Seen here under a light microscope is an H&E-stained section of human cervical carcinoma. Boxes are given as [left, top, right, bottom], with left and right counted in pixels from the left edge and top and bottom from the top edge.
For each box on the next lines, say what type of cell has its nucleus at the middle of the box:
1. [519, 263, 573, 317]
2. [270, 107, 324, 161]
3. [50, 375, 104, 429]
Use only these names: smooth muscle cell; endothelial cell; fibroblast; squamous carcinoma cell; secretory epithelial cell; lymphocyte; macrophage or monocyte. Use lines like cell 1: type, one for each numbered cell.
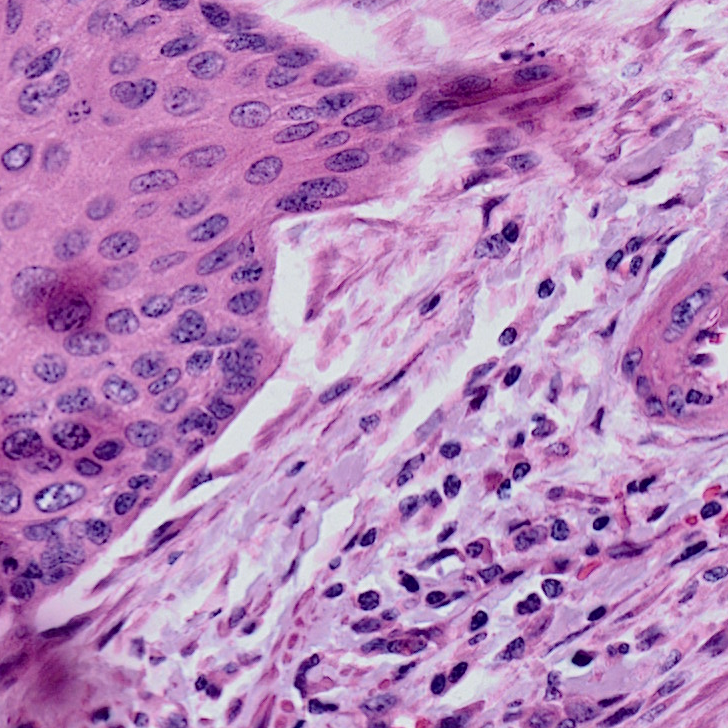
cell 1: lymphocyte
cell 2: squamous carcinoma cell
cell 3: squamous carcinoma cell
